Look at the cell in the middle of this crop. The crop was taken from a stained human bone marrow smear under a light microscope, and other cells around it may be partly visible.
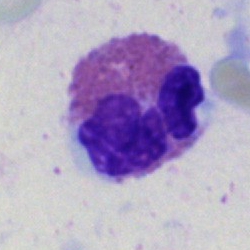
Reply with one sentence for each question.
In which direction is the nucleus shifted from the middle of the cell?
The nucleus sits off-centre, toward the bottom.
